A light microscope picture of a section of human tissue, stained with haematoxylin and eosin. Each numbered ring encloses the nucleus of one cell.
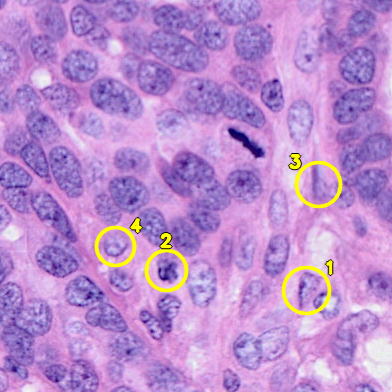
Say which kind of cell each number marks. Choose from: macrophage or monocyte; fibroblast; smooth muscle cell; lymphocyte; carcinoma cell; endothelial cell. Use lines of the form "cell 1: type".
cell 1: fibroblast
cell 2: lymphocyte
cell 3: fibroblast
cell 4: fibroblast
